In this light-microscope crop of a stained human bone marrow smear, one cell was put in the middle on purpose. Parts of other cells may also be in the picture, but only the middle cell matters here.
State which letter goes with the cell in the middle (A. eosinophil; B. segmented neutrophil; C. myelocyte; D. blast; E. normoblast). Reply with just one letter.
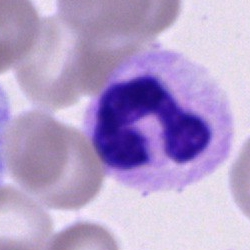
B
